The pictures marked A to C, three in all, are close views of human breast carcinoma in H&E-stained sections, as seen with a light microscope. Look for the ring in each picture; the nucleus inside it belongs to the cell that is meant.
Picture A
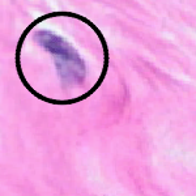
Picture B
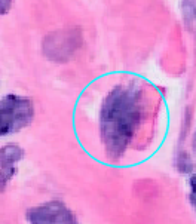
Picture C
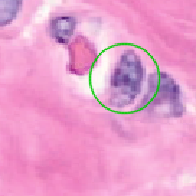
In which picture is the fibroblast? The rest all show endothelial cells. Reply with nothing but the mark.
A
